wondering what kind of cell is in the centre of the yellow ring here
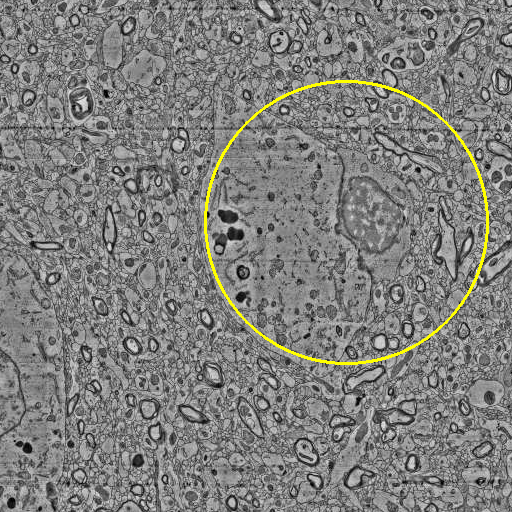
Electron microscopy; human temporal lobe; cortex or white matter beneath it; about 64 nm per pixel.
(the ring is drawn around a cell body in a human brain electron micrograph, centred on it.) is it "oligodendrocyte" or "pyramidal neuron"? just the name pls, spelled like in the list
oligodendrocyte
